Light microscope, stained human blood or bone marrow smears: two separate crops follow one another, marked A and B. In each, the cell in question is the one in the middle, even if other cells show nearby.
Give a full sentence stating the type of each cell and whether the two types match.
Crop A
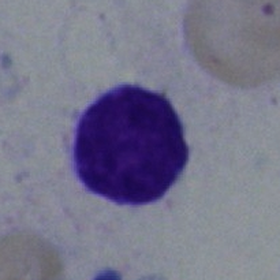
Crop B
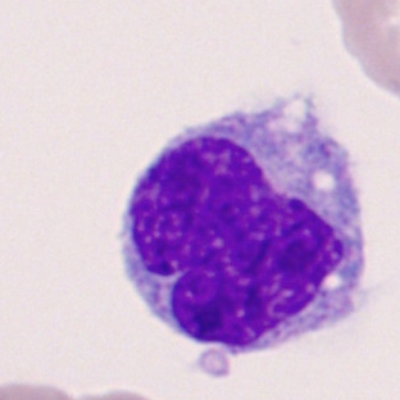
No, crop A contains a lymphocyte, whereas crop B contains a monocyte.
